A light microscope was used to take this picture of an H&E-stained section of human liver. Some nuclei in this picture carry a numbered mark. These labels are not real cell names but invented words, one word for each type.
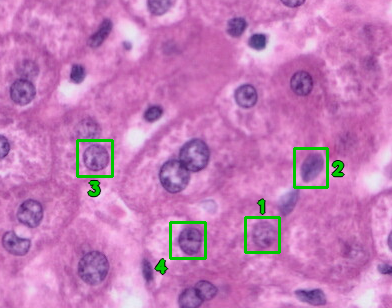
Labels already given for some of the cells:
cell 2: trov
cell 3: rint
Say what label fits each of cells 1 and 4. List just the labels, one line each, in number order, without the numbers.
rint
rint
